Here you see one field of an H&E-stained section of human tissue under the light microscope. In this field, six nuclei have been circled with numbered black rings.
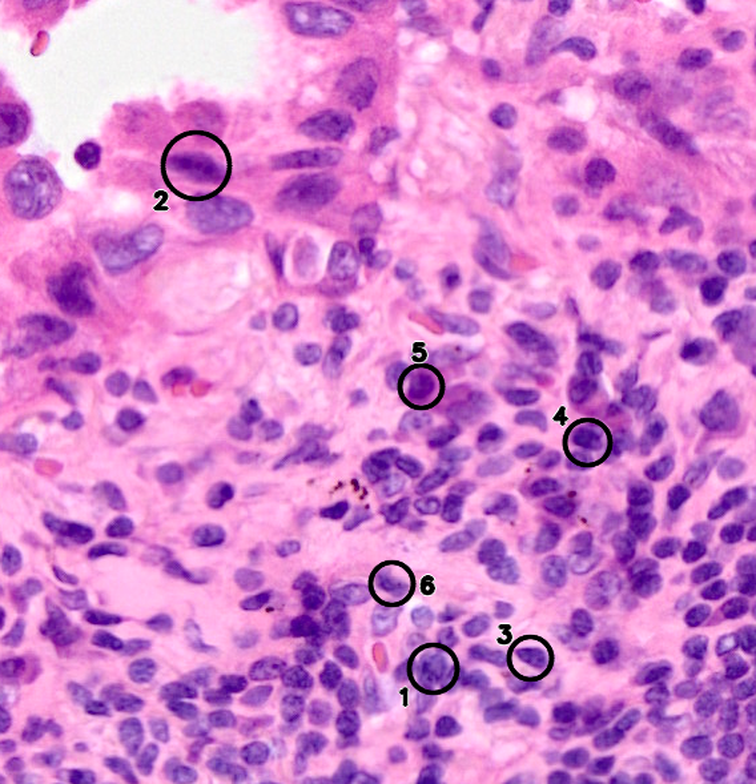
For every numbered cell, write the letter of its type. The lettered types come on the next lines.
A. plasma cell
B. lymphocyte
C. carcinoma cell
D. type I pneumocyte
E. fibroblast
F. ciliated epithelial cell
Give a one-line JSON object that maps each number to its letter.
{"1": "B", "2": "C", "3": "B", "4": "B", "5": "A", "6": "B"}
